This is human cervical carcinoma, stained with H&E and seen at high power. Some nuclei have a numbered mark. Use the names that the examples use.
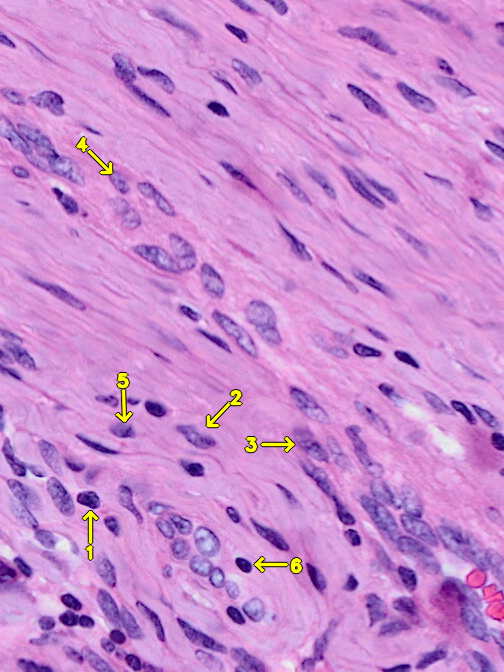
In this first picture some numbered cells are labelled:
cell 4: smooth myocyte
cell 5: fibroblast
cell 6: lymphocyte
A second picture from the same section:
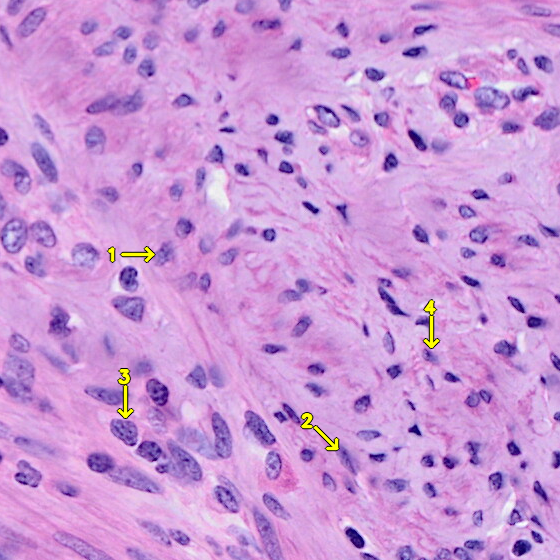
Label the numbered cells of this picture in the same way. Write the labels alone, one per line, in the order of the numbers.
smooth myocyte
smooth myocyte
lymphocyte
smooth myocyte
